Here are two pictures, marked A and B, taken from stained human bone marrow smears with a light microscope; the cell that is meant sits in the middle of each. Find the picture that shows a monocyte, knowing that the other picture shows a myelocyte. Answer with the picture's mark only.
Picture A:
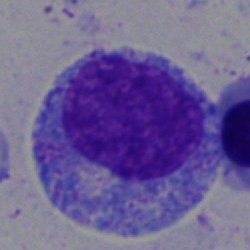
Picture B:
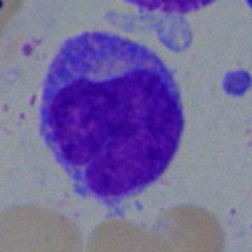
B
